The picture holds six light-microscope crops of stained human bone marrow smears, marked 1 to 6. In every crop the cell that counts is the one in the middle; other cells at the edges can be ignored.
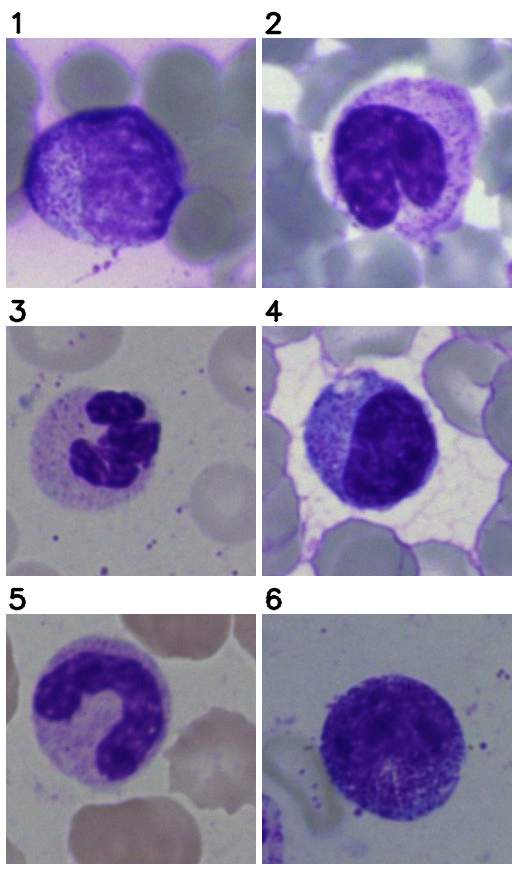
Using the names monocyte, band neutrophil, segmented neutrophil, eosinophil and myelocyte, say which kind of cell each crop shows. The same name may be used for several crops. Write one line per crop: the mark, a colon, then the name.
1: myelocyte
2: band neutrophil
3: segmented neutrophil
4: myelocyte
5: band neutrophil
6: myelocyte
